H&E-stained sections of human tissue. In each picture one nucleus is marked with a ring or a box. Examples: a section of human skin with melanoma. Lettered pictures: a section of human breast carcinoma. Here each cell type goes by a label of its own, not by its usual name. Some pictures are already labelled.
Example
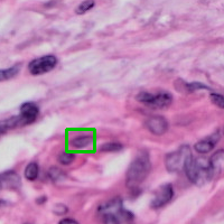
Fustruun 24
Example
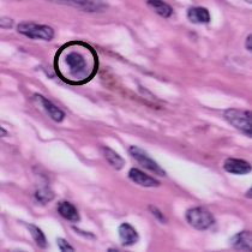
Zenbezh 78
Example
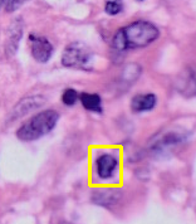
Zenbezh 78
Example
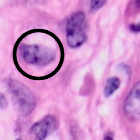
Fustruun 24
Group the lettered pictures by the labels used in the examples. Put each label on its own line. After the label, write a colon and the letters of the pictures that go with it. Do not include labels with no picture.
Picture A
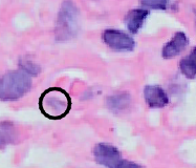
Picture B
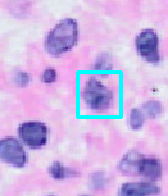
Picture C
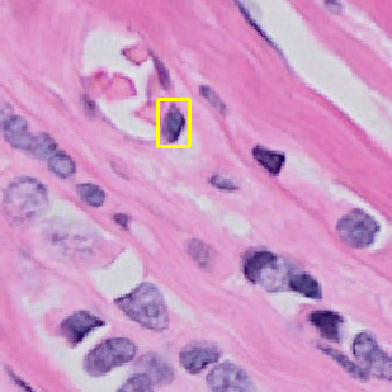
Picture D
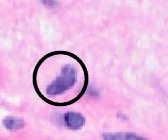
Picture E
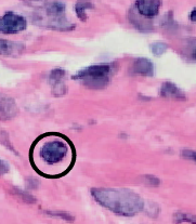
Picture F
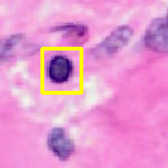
Fustruun 24: A, C
Zenbezh 78: B, D, E, F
